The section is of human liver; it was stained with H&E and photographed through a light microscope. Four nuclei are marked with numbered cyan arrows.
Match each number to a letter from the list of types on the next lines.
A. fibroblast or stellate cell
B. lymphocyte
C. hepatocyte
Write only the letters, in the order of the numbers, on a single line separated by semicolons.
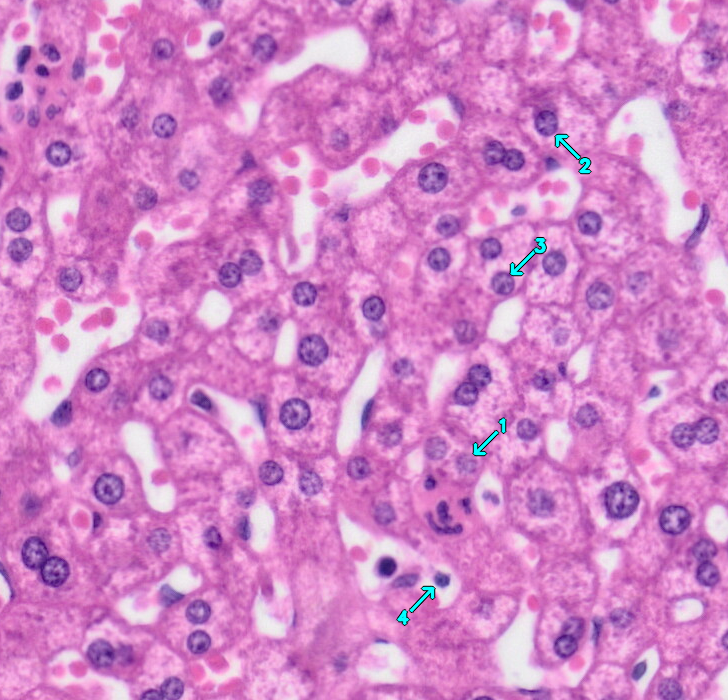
C; C; C; B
